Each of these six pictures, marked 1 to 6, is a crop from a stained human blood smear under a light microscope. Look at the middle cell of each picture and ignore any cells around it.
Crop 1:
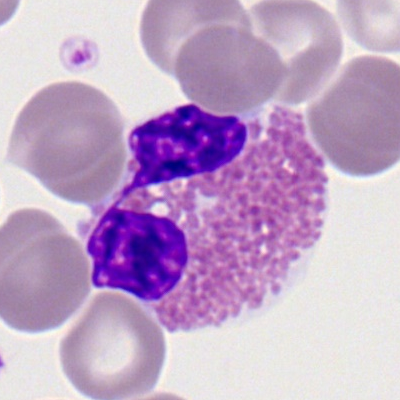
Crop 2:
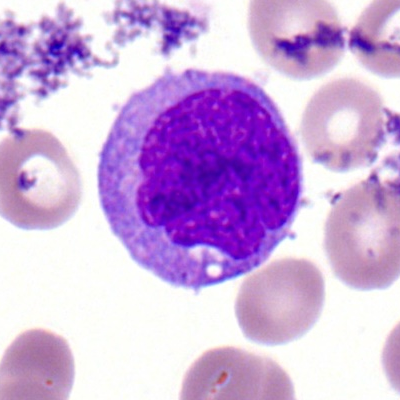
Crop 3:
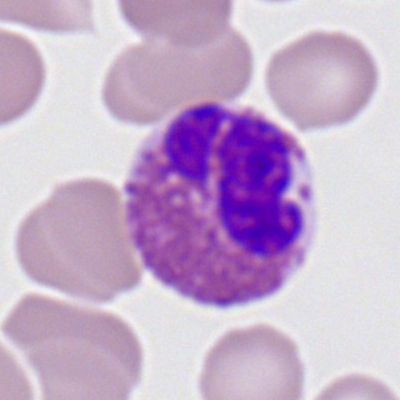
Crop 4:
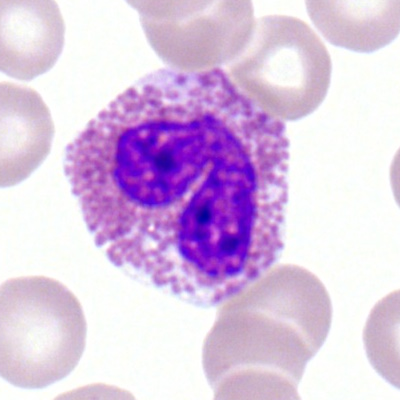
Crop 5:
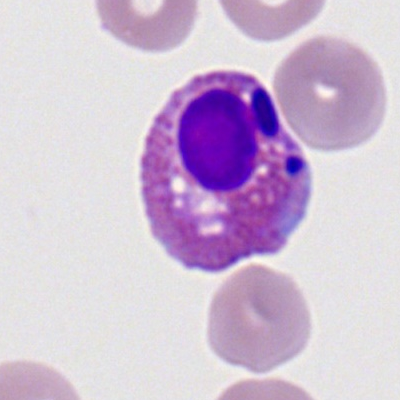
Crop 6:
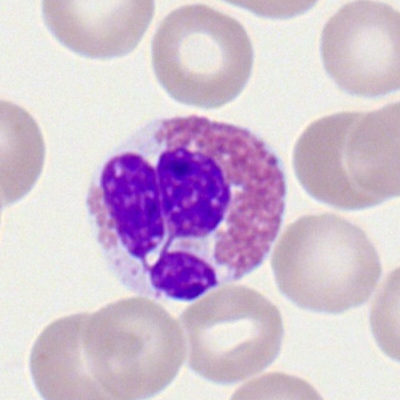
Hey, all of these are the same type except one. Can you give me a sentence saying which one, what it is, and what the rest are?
Crop 2 contains a monocyte, setting it apart from the other crops, which all contain eosinophils.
